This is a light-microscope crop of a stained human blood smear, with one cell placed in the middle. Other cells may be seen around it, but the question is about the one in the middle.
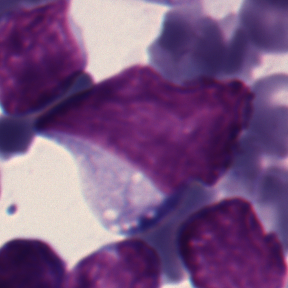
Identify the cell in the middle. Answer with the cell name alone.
blast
